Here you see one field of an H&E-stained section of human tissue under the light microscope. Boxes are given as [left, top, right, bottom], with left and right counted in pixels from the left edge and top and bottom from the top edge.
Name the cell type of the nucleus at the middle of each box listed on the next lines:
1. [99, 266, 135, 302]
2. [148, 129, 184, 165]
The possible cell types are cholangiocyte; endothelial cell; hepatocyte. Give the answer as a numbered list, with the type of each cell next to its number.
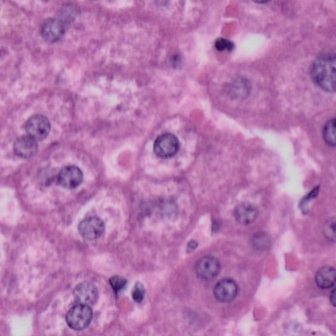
1. endothelial cell
2. hepatocyte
